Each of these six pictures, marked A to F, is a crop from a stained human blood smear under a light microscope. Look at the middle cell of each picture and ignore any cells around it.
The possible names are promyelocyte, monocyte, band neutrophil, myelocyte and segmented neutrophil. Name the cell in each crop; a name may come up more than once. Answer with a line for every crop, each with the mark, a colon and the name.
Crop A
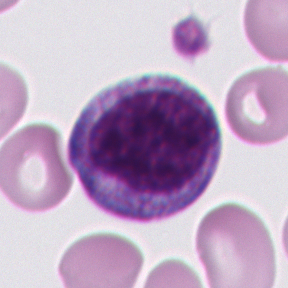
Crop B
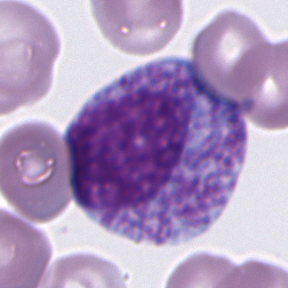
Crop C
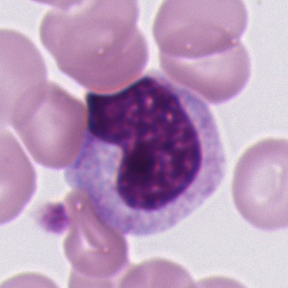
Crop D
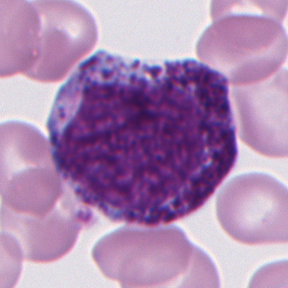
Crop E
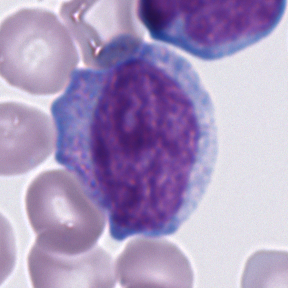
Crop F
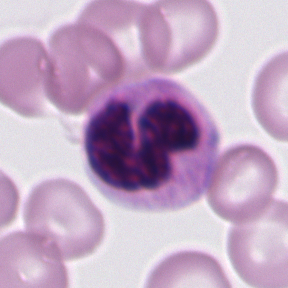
A: myelocyte
B: myelocyte
C: band neutrophil
D: promyelocyte
E: promyelocyte
F: segmented neutrophil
